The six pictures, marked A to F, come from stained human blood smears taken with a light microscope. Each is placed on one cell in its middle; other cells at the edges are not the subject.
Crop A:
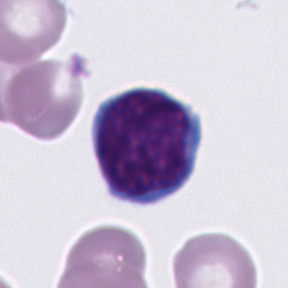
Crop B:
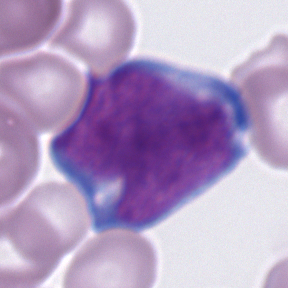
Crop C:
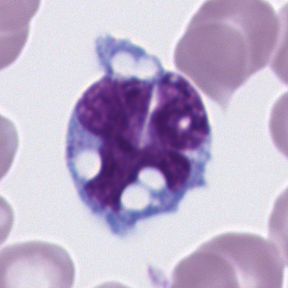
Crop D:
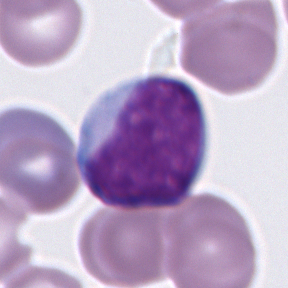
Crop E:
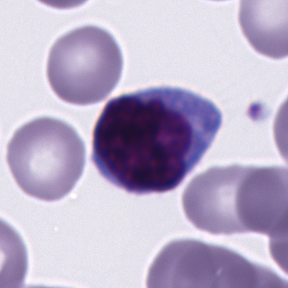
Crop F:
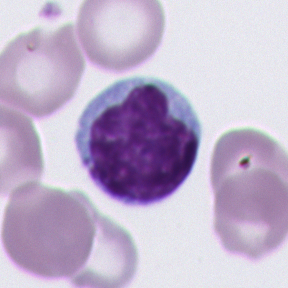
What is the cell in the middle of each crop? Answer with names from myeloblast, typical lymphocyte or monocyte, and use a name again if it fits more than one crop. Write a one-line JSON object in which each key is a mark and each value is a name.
{"A": "typical lymphocyte", "B": "myeloblast", "C": "monocyte", "D": "myeloblast", "E": "typical lymphocyte", "F": "typical lymphocyte"}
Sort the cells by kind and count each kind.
typical lymphocyte: 3
myeloblast: 2
monocyte: 1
